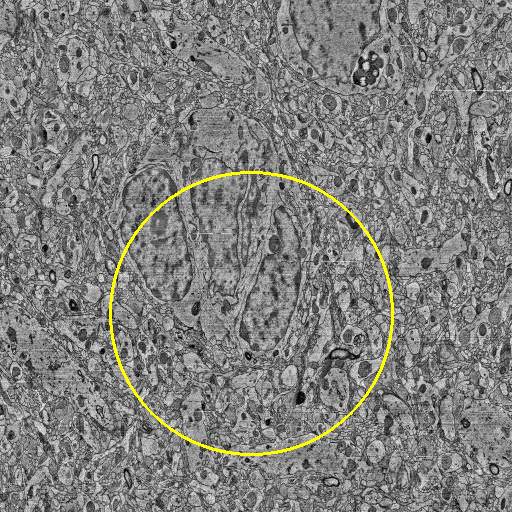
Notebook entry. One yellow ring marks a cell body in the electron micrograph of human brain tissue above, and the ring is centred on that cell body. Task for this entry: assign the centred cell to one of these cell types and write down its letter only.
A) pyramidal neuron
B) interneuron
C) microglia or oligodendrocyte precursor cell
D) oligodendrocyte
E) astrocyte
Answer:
C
